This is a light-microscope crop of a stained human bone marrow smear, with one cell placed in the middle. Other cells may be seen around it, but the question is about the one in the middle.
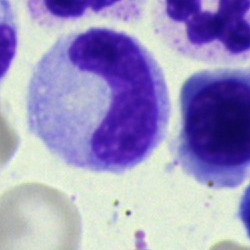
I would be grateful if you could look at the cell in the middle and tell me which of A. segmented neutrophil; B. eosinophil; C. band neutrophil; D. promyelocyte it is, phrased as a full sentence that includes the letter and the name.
The cell in the centre of the crop is a band neutrophil, so option C is the correct one.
